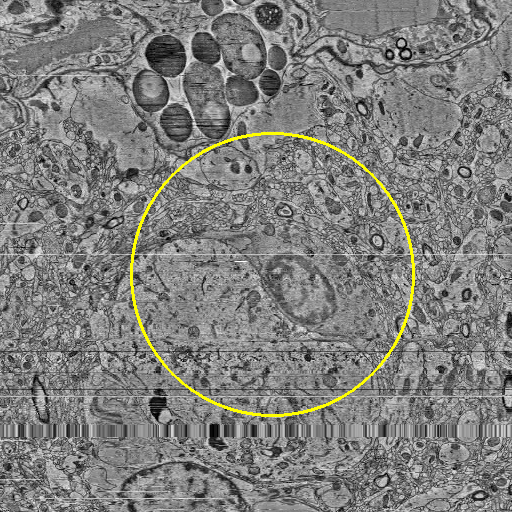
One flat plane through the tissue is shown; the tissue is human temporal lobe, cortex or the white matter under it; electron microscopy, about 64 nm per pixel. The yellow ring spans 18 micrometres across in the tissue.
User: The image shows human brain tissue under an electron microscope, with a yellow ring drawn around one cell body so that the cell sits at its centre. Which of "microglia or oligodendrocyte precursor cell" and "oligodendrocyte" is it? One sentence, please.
At the centre of the ring sits an oligodendrocyte.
